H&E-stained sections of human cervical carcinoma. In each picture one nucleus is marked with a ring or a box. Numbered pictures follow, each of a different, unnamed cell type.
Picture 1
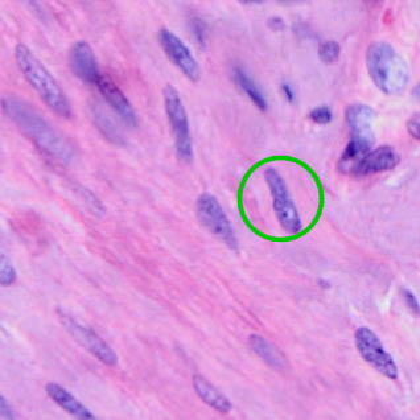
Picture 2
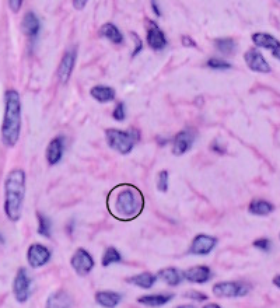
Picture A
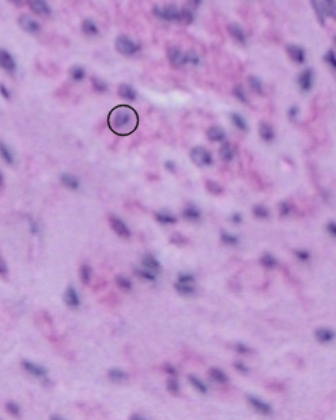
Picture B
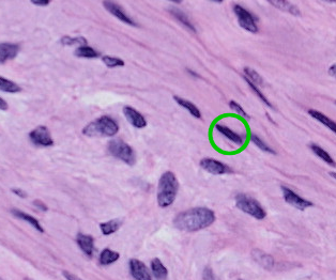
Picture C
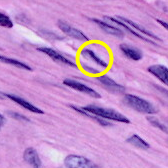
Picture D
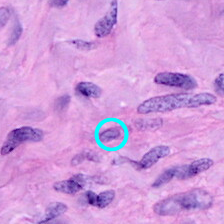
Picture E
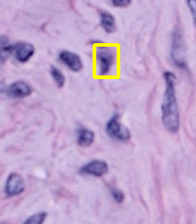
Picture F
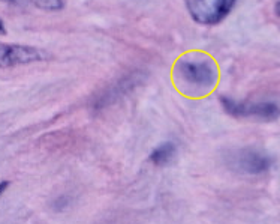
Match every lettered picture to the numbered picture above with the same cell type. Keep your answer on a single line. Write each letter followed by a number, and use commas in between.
A 2, B 1, C 1, D 2, E 2, F 2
